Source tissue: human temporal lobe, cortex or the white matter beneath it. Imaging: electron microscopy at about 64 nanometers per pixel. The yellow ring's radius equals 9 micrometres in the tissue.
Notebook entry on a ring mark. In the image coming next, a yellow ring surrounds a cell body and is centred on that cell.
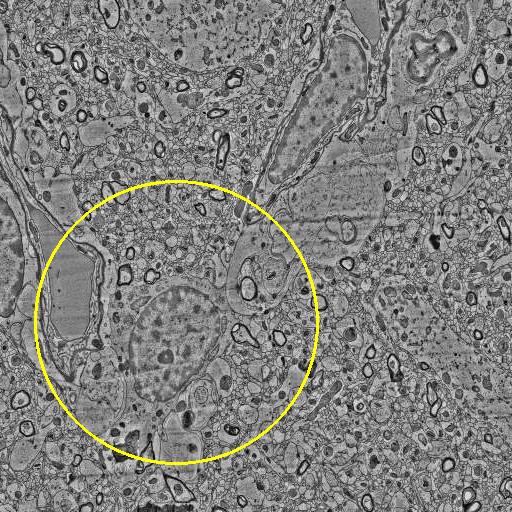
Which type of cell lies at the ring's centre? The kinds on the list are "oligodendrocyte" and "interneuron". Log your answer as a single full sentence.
Centred in the yellow ring is an oligodendrocyte, the cell recorded for this image.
